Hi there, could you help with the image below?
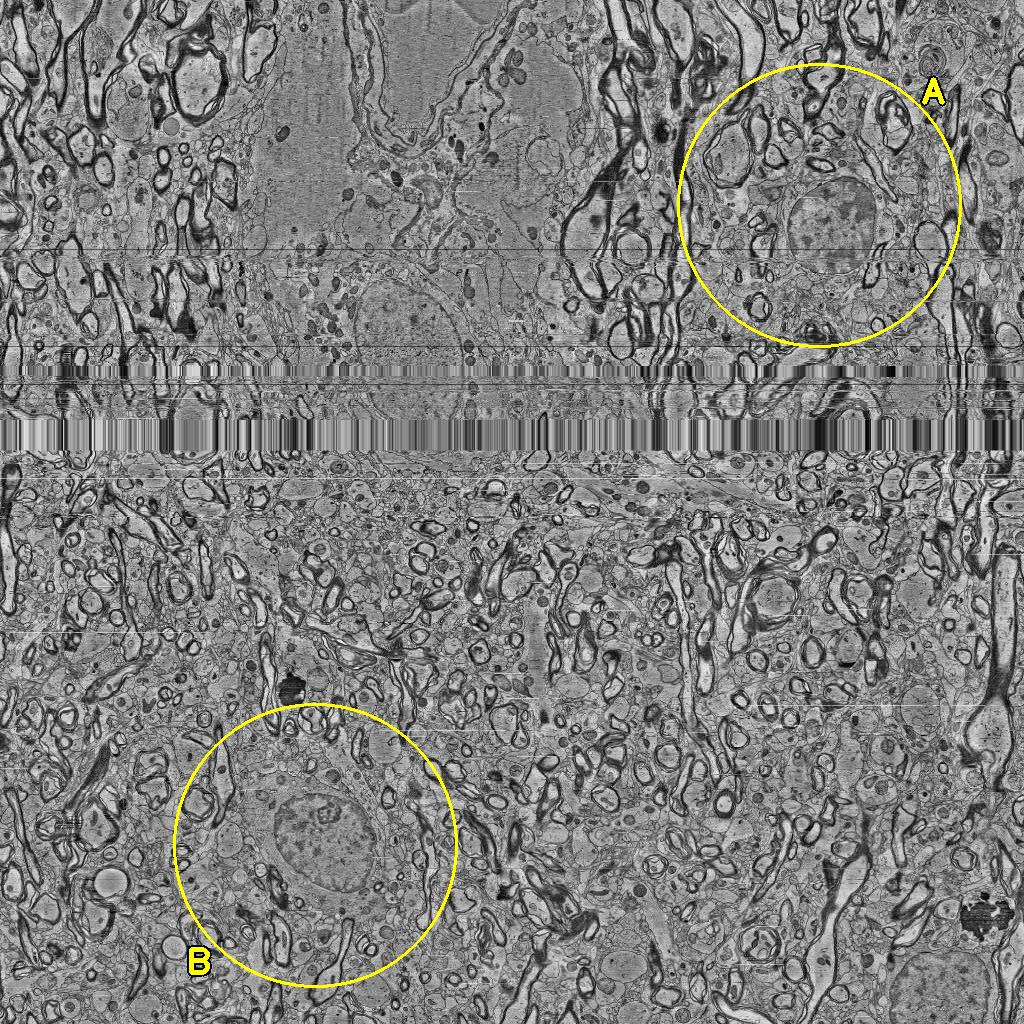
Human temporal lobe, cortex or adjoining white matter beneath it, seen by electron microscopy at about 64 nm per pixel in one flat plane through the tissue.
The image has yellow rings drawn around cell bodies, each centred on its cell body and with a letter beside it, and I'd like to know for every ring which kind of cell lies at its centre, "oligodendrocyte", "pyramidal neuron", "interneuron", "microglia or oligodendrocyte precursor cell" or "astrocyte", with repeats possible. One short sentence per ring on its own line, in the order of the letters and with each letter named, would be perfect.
Ring A is placed around a microglial cell or oligodendrocyte precursor cell.
Ring B is placed around an oligodendrocyte.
